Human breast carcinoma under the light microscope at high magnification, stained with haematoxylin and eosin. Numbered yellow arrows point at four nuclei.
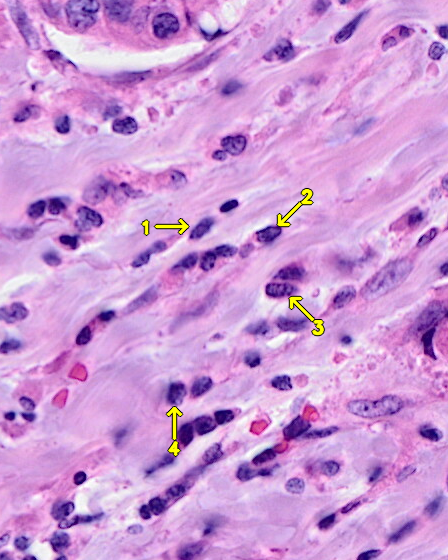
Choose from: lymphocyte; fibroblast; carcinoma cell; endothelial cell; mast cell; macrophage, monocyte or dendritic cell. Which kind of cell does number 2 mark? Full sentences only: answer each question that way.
Cell 2 in the field of view is a lymphocyte.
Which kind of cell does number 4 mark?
The label 4 in this section denotes a lymphocyte.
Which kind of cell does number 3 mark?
The cell indicated by marker 3 is a mast cell in this section.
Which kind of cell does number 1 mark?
Cell number 1 in this section is a lymphocyte.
